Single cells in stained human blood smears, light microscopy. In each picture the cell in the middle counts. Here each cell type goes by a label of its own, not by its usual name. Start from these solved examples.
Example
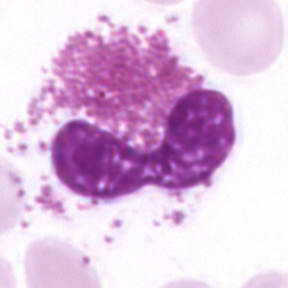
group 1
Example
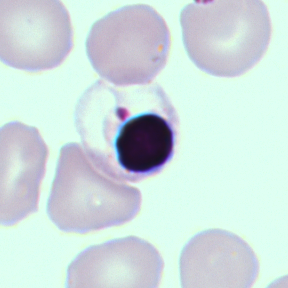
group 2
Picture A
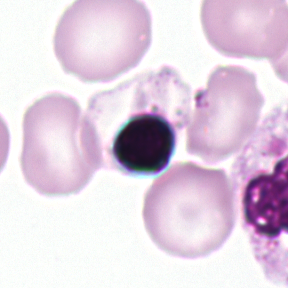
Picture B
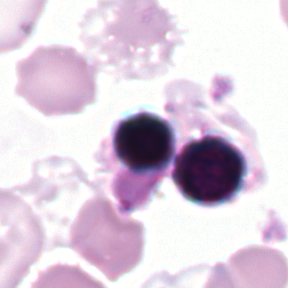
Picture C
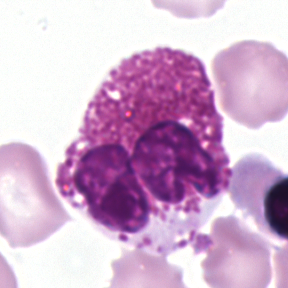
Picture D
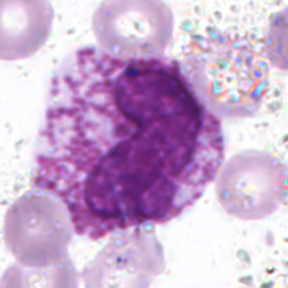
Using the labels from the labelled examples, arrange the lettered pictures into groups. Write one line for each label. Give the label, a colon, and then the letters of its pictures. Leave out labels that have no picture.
group 1: C, D
group 2: A, B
